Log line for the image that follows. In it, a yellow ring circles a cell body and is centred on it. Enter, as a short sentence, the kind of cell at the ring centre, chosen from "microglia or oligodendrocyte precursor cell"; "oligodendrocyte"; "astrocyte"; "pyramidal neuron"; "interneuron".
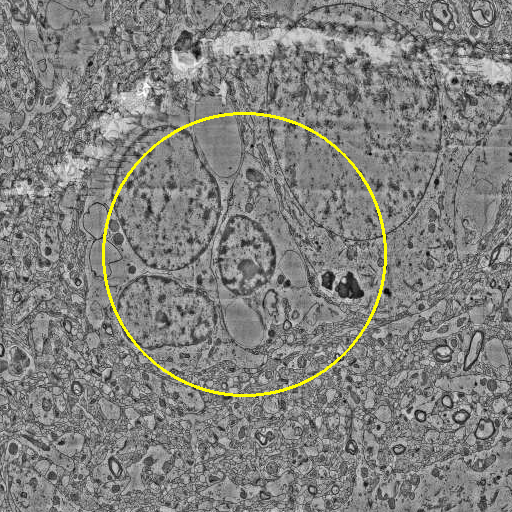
The ring centre is occupied by an astrocyte.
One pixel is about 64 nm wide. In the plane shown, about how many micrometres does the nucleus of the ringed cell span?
In this plane, roughly 5 by 4 micrometres.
